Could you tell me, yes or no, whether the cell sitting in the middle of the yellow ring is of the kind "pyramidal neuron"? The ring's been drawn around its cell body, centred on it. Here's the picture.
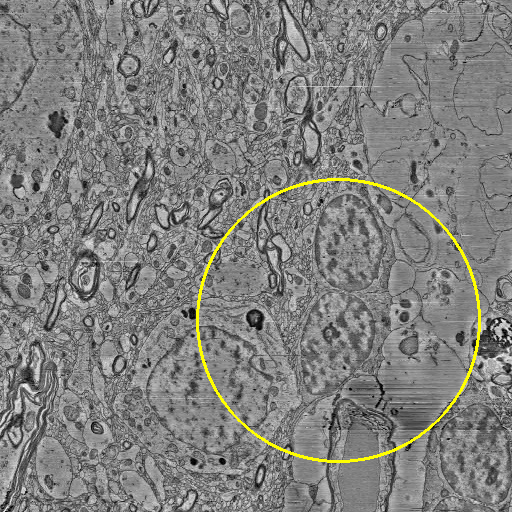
No, it is of another kind.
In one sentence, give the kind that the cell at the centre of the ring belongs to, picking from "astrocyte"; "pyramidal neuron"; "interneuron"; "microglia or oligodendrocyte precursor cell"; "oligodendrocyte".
The ringed cell in this picture is, instead, an oligodendrocyte.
